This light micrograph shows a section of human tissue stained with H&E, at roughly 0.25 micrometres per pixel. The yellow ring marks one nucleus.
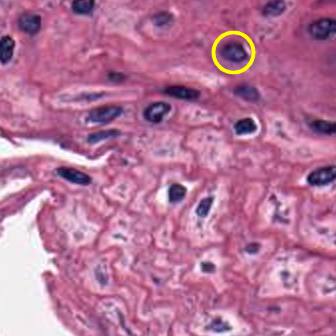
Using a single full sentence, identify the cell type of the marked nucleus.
The cell containing the marked nucleus is a squamous epithelial cell.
